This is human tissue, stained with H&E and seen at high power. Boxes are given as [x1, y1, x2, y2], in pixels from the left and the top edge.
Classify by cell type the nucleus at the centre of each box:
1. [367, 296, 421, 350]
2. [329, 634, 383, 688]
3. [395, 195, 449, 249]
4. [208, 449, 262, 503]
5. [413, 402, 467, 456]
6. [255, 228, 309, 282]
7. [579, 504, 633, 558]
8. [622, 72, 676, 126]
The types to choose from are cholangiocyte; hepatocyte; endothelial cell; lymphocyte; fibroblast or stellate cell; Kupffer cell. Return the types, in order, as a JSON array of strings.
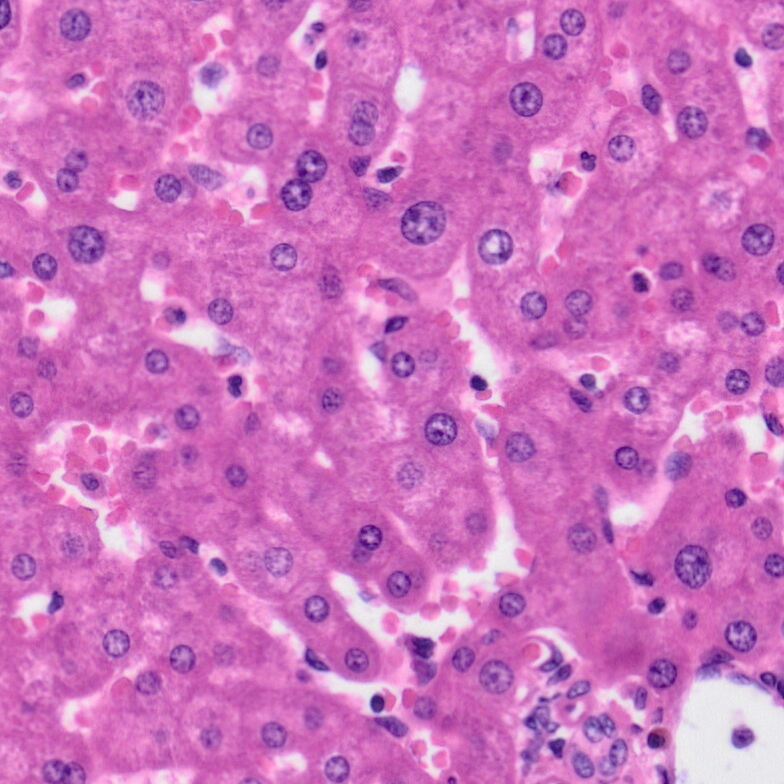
["fibroblast or stellate cell", "hepatocyte", "hepatocyte", "hepatocyte", "hepatocyte", "hepatocyte", "fibroblast or stellate cell", "Kupffer cell"]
